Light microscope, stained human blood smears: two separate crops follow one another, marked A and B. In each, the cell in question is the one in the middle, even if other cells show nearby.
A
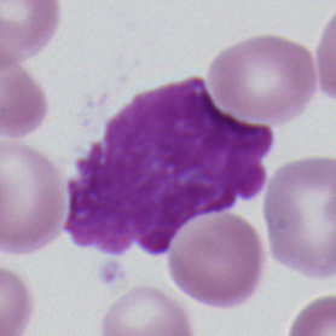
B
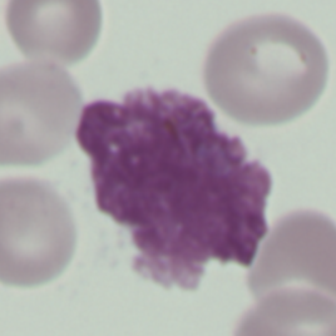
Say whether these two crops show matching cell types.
yes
